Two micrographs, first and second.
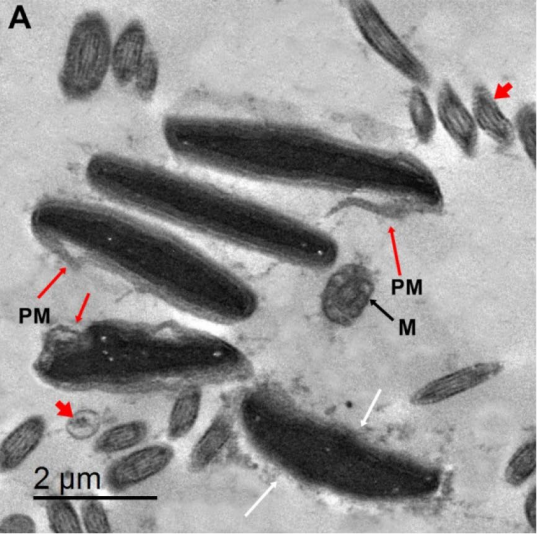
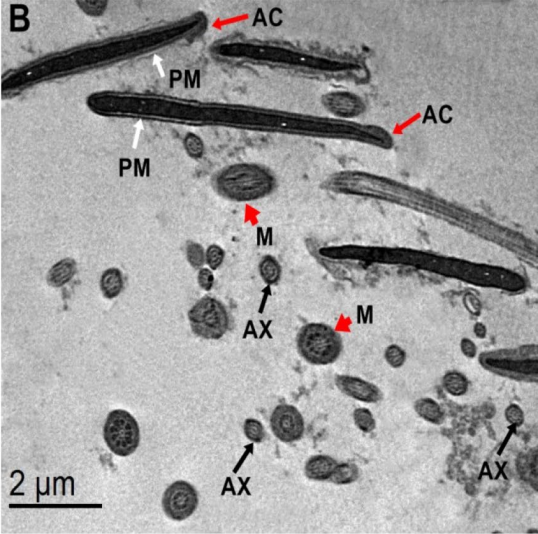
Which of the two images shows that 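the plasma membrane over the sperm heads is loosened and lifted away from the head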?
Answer: the first image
